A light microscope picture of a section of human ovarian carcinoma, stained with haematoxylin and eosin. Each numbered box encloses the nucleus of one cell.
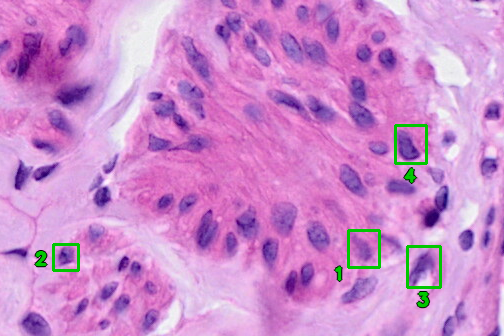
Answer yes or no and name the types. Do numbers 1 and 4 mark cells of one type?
Yes, both are smooth muscle cells.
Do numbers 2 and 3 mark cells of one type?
No, cell 2 is a smooth muscle cell and cell 3 is an endothelial cell.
